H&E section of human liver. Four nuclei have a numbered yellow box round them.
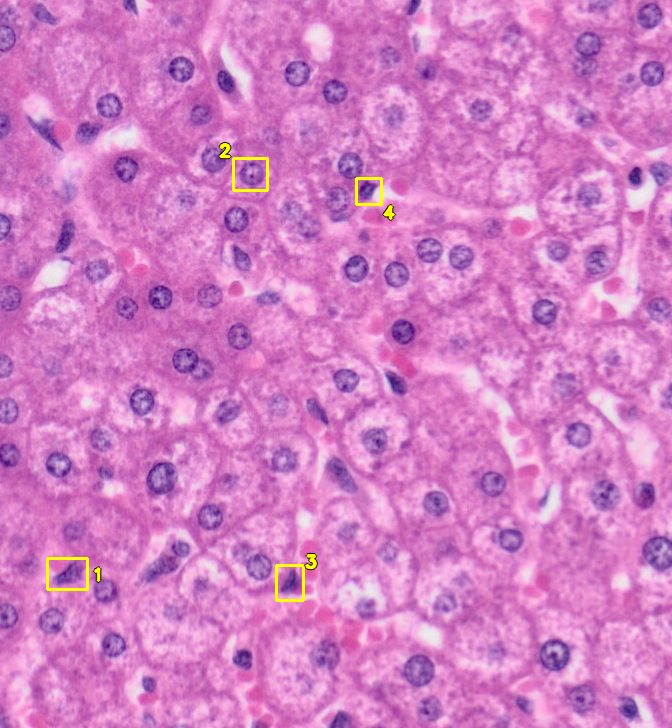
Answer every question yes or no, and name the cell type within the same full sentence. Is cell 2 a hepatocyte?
Yes, number 2 marks a cell that is a hepatocyte.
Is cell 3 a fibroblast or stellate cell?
No, cell 3 should be classed as an endothelial cell, not as a fibroblast or stellate cell.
